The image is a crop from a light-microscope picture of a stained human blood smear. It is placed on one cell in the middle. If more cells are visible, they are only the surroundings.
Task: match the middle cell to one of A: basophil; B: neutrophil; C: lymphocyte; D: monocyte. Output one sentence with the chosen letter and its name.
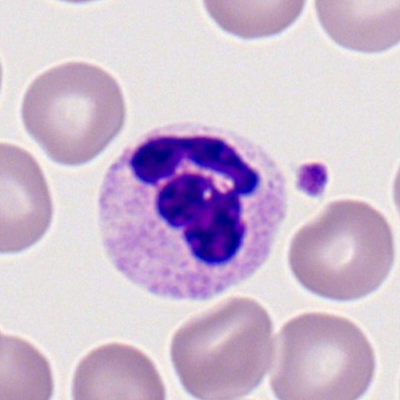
What sits in the middle of the crop is a neutrophil, and option B is correct.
